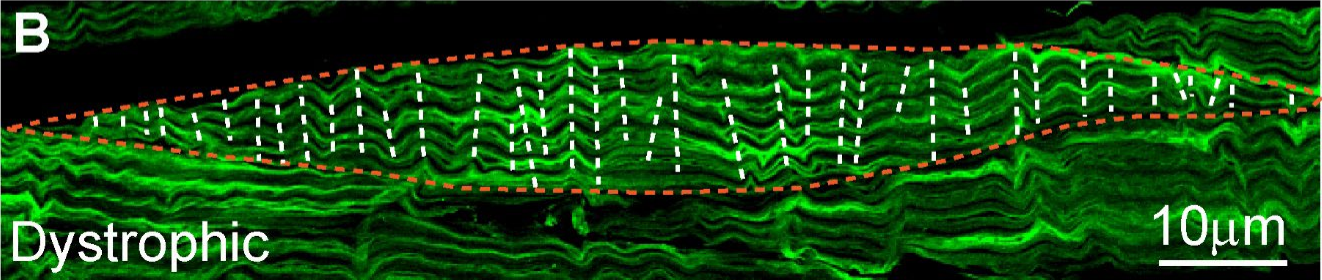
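This is an elongated muscle cell, outlined by an orange dashed line. Its green contractile lines are no longer straight: they bend into repeated zigzag waves, which are marked by short white dashed lines. The lines are irregularly spaced, and the surrounding muscle shows the same wavy disorder.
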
